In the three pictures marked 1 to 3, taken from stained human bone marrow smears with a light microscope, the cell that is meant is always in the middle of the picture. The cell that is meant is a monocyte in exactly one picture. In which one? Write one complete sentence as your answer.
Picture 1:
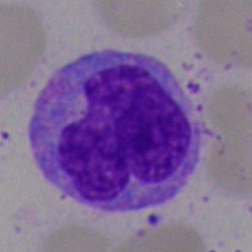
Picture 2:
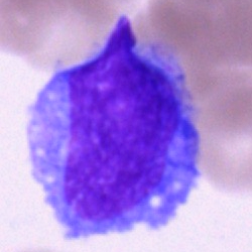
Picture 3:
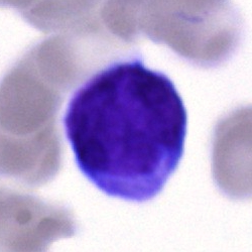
The picture with the monocyte is 1.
